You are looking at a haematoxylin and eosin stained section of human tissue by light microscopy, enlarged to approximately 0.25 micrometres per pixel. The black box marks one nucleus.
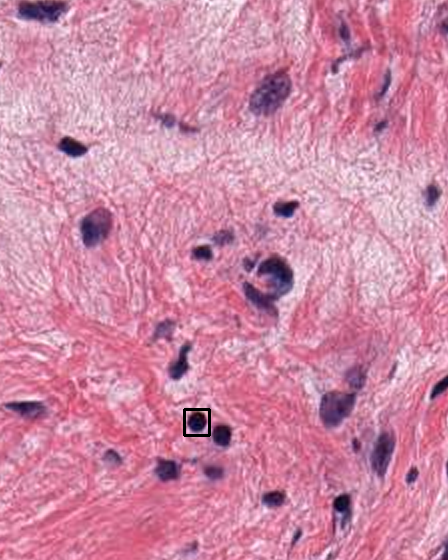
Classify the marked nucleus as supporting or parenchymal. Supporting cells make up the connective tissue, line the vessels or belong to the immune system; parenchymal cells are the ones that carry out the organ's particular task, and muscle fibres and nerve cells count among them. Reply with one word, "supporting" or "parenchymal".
supporting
